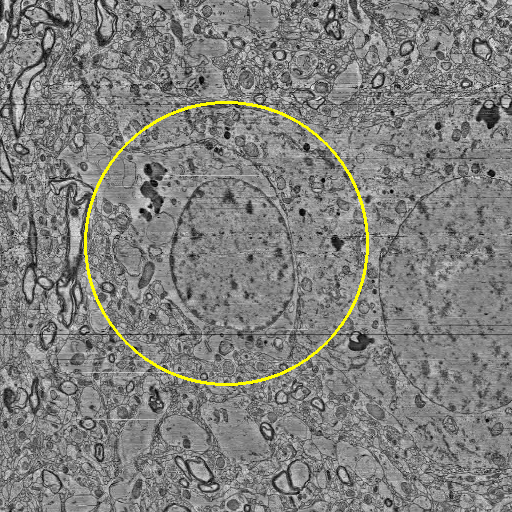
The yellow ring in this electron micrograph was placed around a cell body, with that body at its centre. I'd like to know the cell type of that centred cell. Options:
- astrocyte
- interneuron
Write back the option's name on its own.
astrocyte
